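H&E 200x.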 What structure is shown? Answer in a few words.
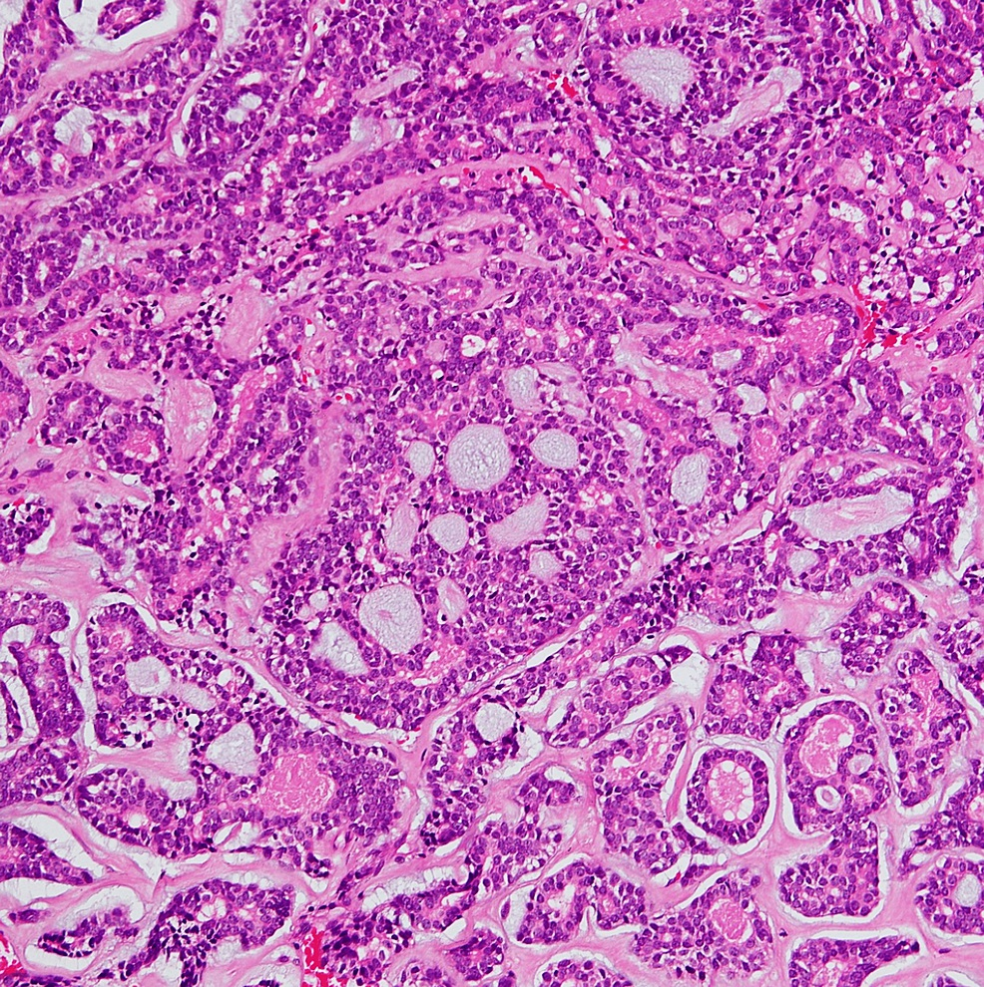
Cribriform pattern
